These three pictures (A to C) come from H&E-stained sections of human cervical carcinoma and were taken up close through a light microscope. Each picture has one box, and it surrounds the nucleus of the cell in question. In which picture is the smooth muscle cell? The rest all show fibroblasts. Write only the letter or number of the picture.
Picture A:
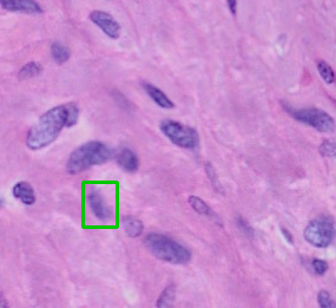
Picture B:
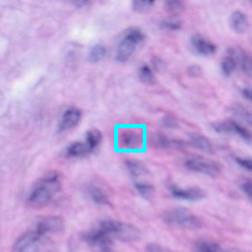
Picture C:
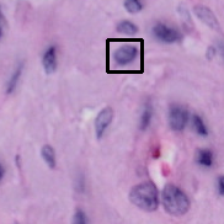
B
